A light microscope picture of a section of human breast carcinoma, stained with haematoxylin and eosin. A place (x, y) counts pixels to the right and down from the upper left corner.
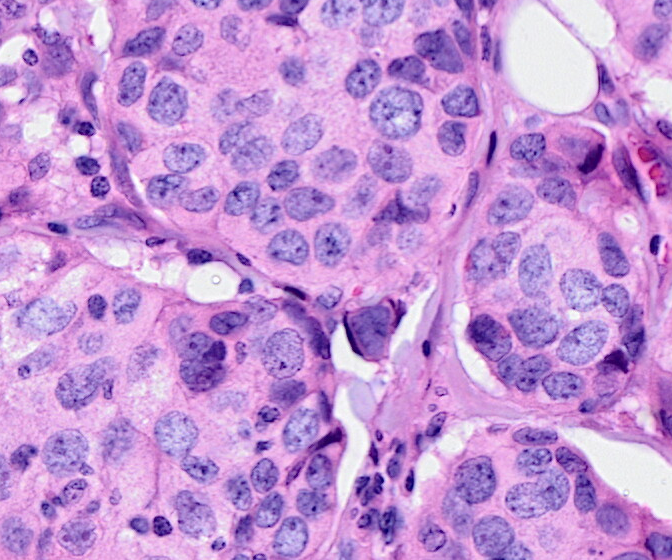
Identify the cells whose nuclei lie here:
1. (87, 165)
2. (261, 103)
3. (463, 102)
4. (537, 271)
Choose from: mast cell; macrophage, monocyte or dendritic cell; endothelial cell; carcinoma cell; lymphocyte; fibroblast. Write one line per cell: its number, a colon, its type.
1: lymphocyte
2: carcinoma cell
3: carcinoma cell
4: carcinoma cell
